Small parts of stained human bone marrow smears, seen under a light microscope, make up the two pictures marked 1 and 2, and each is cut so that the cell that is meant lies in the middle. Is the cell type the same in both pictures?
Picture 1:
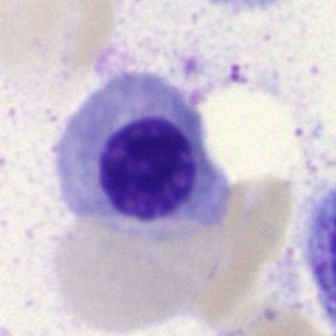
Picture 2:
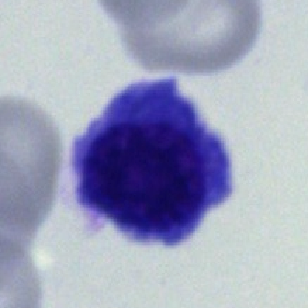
yes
